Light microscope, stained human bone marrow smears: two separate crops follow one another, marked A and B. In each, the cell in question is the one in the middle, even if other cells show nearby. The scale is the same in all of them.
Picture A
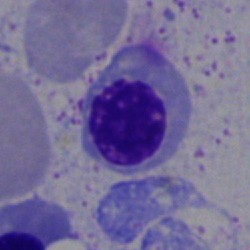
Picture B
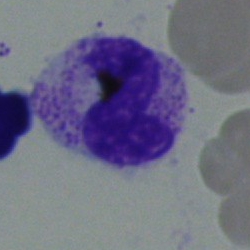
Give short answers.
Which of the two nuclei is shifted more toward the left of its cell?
A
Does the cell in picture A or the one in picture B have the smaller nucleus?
A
